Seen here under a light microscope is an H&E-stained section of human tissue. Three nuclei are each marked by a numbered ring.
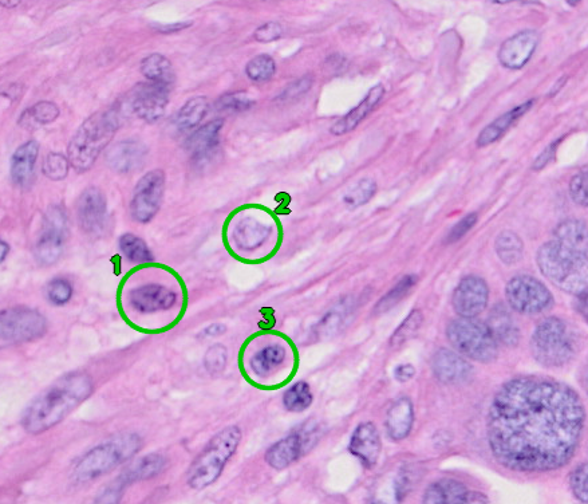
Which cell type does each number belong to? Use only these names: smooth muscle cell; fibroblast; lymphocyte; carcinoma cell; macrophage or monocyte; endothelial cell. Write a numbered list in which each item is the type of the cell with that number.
1. macrophage or monocyte
2. fibroblast
3. lymphocyte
